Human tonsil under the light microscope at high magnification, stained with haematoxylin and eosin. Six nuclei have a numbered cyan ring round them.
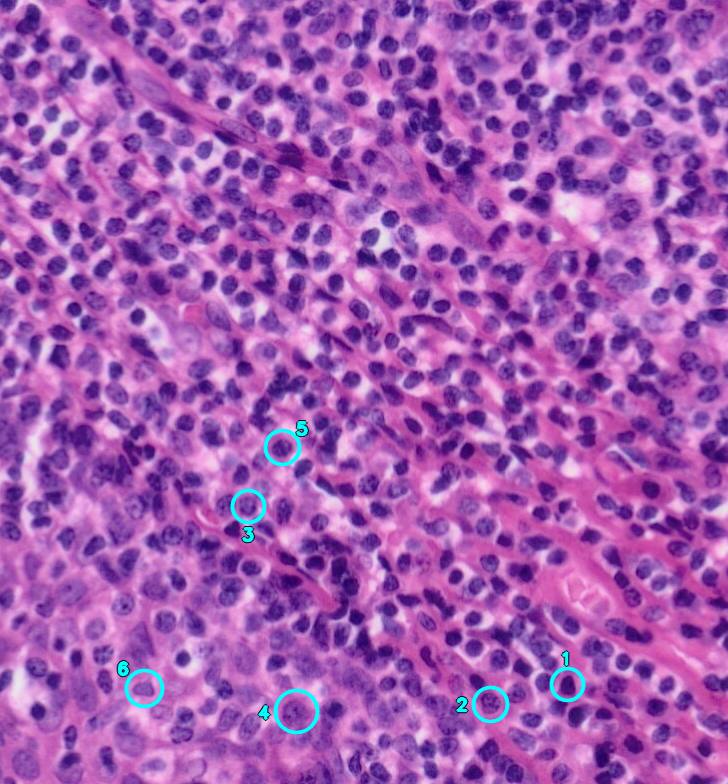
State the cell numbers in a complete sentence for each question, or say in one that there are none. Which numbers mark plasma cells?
The cells that the numbers 1, 2, 3 and 5 belong to are plasma cells.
